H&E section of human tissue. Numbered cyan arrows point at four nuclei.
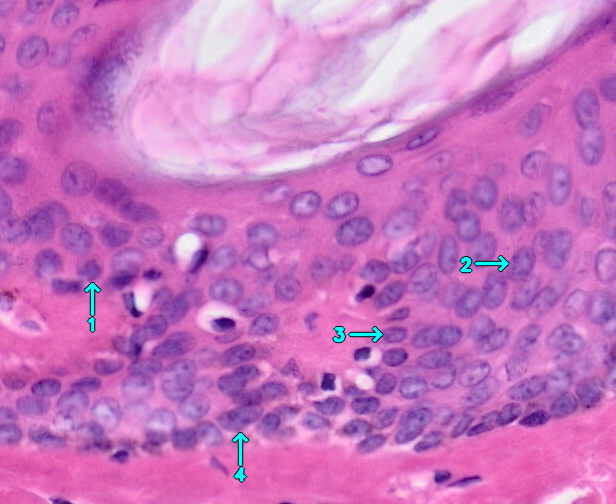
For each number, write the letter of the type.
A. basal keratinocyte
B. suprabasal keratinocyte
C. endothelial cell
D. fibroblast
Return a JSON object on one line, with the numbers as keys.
{"1": "A", "2": "B", "3": "A", "4": "A"}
